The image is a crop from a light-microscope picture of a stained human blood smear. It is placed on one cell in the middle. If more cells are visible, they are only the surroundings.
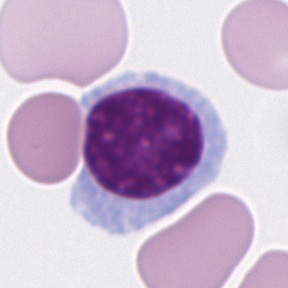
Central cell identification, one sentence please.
The cell at the middle of the crop is recognized as a typical lymphocyte.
